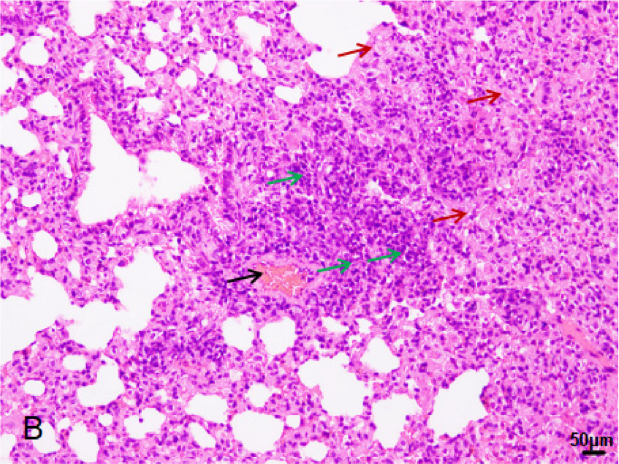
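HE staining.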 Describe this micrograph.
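Lung parenchyma with alveolar spaces, largely consolidated. Much of the field is filled by densely packed cells with small, dark purple, round nuclei, so that many alveolar walls are thickened and air spaces are narrowed or obliterated; open white alveolar spaces remain mainly at the left and lower edges. Within the consolidated area there is pale pink, finely granular material among the cells. A small focus of bright red-orange anucleate material, consistent with extravasated red blood cells, lies near the centre. Cellular clusters are densest across the middle of the field.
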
